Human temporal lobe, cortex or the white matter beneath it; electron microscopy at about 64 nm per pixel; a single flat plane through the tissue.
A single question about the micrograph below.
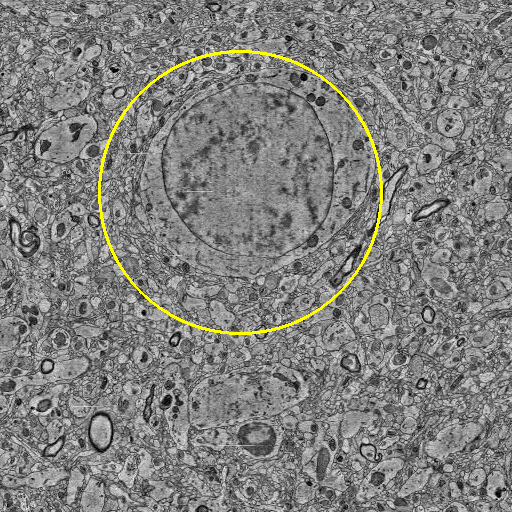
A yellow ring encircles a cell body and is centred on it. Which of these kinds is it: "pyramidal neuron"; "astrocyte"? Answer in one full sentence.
The cell body at the centre of the yellow ring belongs to a pyramidal neuron.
